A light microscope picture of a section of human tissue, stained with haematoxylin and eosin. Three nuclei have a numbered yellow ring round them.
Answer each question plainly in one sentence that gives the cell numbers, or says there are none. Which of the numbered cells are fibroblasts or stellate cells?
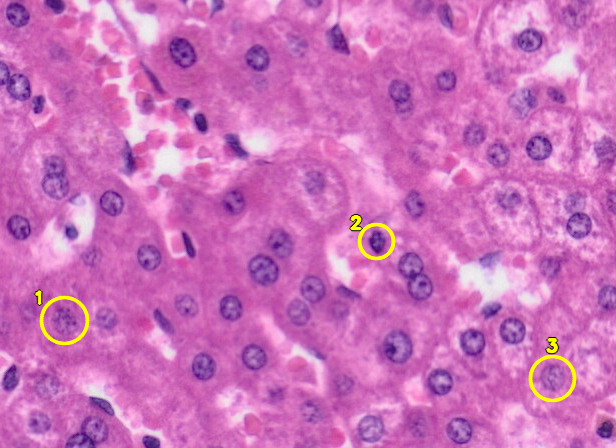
Among the marked cells, cell number 2 alone is a fibroblast or stellate cell.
